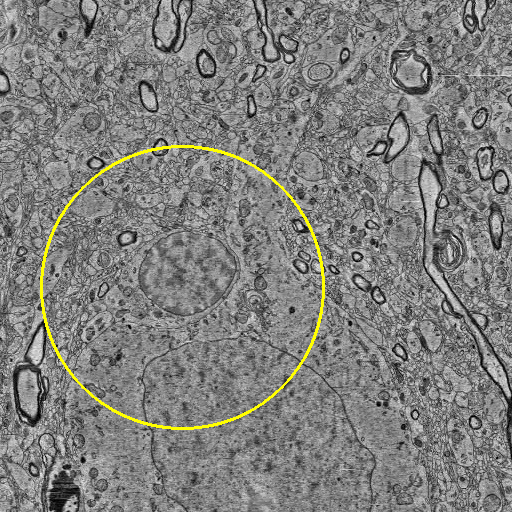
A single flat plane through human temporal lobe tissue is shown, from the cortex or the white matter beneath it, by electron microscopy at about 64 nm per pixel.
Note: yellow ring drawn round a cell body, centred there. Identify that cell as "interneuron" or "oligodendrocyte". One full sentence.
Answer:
The cell in the middle of the ring is an oligodendrocyte.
